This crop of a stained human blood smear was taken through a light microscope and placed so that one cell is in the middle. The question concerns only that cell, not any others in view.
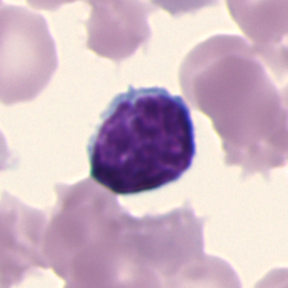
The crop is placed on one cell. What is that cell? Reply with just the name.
lymphocyte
